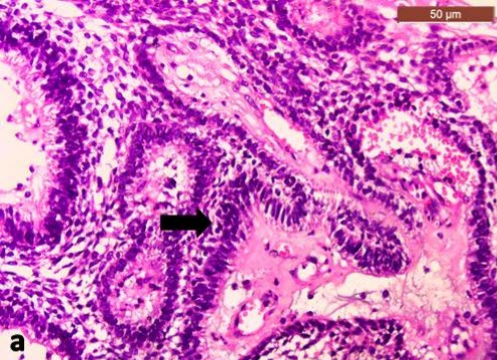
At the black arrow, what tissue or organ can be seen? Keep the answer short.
Odontogenic epithelium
